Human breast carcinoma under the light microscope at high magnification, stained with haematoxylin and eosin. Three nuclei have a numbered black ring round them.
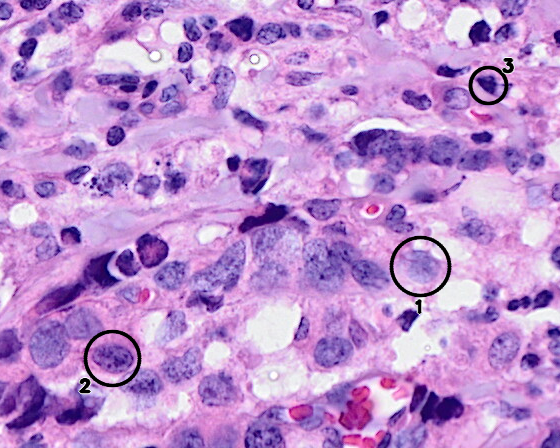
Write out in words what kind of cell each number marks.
Cells 1 and 2 are carcinoma cells. Cell 3 is a lymphocyte.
